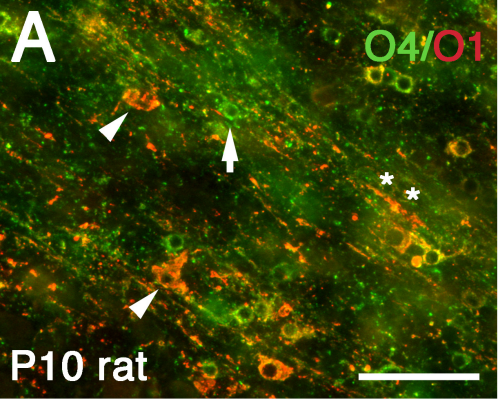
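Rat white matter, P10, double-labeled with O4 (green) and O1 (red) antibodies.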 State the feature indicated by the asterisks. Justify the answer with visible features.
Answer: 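Red-orange elongated streaks aligned with the fiber tracts. The marked streaks lie between rounded cell bodies.
Myelin sheaths.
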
